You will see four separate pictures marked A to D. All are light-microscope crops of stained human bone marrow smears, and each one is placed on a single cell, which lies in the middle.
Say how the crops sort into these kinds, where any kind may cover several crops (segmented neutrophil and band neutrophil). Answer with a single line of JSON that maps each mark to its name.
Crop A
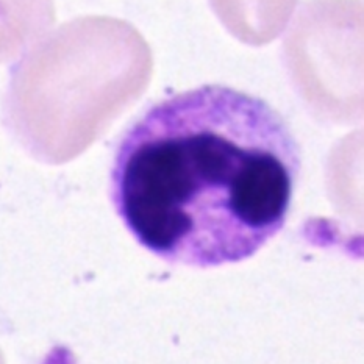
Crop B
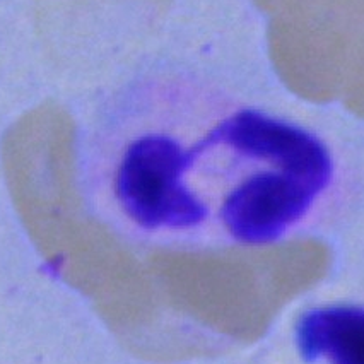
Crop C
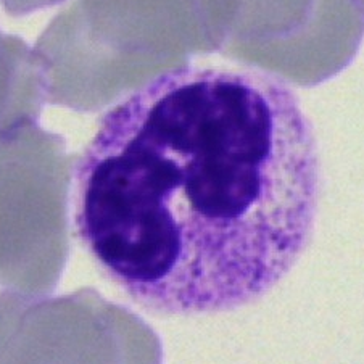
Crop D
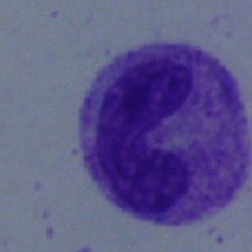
{"A": "segmented neutrophil", "B": "segmented neutrophil", "C": "segmented neutrophil", "D": "band neutrophil"}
